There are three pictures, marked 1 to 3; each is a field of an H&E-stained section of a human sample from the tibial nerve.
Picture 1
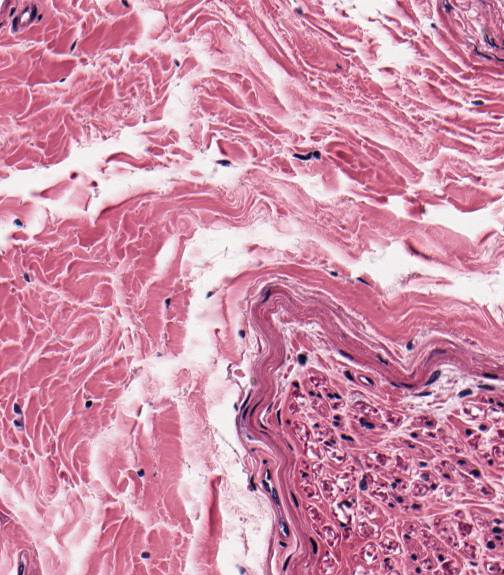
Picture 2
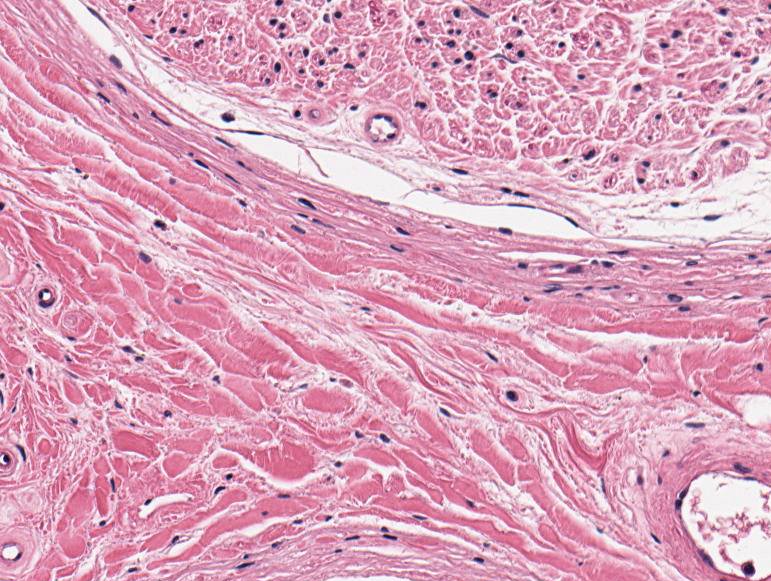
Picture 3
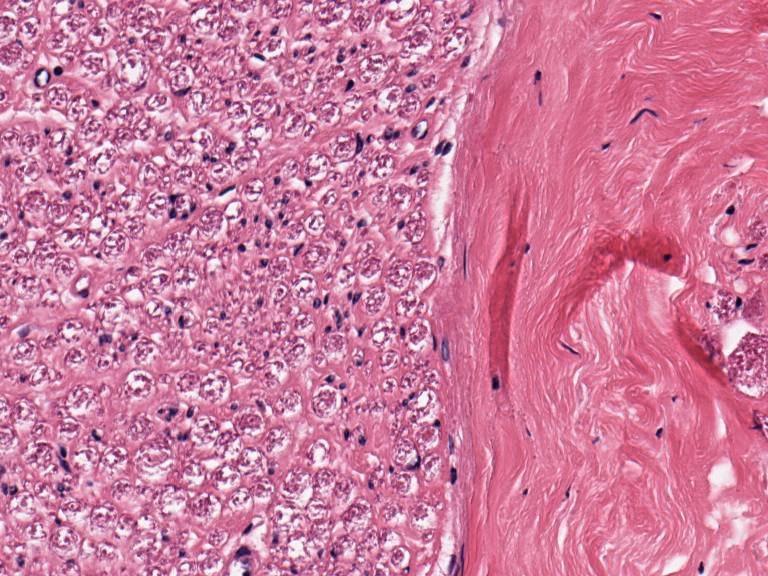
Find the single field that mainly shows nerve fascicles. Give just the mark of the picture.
3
